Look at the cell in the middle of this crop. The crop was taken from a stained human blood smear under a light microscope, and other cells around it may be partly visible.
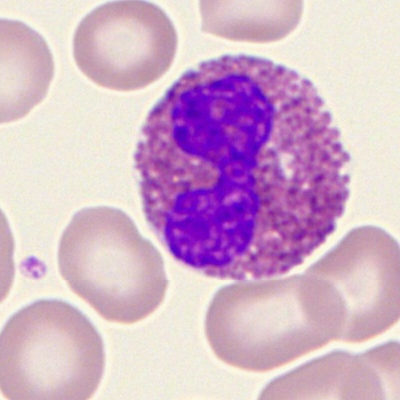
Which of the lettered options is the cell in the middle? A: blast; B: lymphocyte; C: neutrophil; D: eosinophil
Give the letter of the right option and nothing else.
D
